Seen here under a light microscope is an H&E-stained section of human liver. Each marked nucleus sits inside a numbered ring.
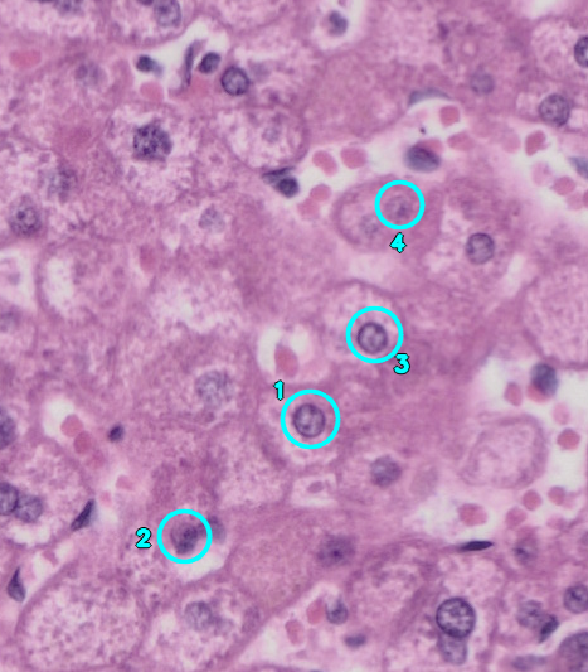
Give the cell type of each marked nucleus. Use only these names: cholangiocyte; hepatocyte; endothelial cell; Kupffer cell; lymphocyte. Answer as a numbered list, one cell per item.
1. hepatocyte
2. Kupffer cell
3. hepatocyte
4. hepatocyte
